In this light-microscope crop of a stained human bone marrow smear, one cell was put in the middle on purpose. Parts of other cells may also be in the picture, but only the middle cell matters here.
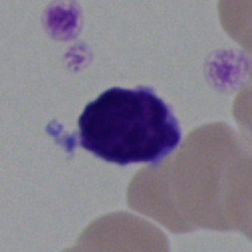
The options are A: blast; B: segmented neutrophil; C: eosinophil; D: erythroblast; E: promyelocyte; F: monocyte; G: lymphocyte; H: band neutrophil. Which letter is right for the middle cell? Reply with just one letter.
G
